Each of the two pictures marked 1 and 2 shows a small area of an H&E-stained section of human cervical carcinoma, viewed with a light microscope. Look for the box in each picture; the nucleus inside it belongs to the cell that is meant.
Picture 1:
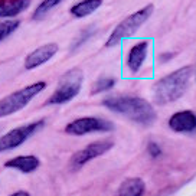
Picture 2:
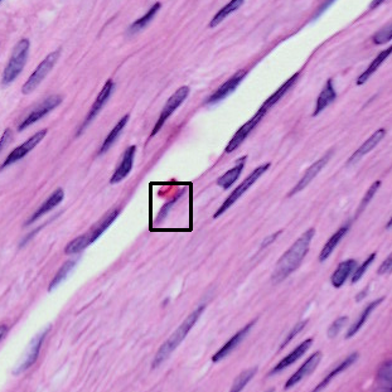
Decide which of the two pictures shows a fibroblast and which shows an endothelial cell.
1: fibroblast
2: endothelial cell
